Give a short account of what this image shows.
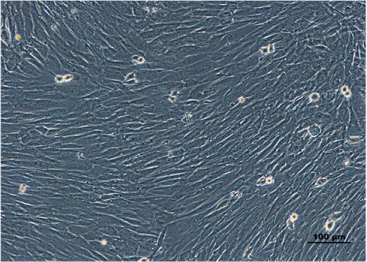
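This culture shows a monolayer of homogeneous spindle-shaped cells covering the whole field. The cells are long and slender with tapering ends, and lie side by side in parallel streams. A few small rounded, bright cells sit on top of the layer here and there.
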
